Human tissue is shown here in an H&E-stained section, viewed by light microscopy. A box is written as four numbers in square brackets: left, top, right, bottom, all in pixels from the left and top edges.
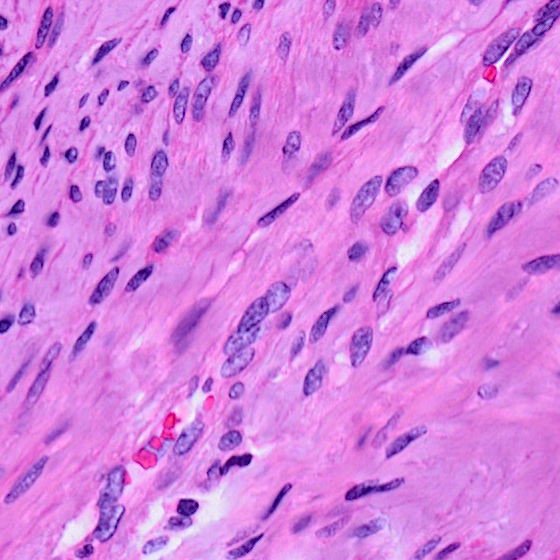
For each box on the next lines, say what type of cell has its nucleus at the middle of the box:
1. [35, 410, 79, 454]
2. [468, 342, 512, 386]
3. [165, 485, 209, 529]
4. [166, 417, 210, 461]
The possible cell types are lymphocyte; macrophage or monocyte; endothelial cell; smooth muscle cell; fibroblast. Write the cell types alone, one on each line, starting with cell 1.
smooth muscle cell
fibroblast
lymphocyte
endothelial cell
